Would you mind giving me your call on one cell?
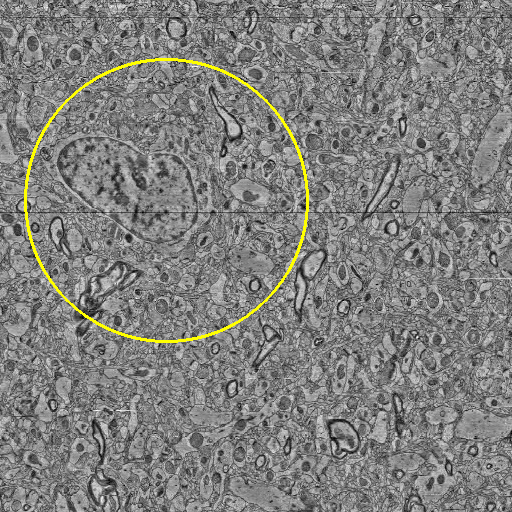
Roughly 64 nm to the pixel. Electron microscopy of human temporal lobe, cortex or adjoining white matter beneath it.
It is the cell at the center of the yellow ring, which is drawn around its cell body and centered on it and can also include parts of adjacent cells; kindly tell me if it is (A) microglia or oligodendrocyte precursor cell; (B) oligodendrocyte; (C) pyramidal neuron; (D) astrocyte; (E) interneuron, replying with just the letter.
A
